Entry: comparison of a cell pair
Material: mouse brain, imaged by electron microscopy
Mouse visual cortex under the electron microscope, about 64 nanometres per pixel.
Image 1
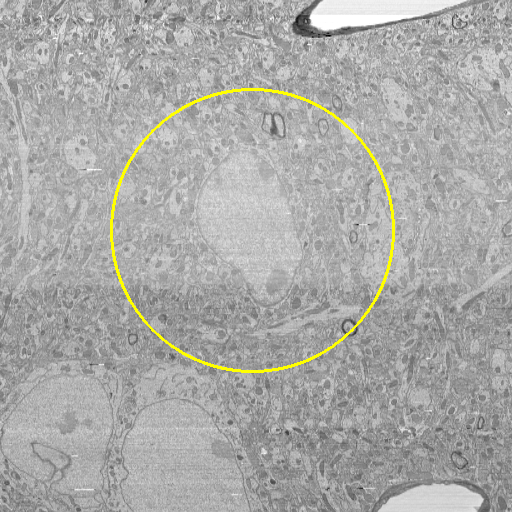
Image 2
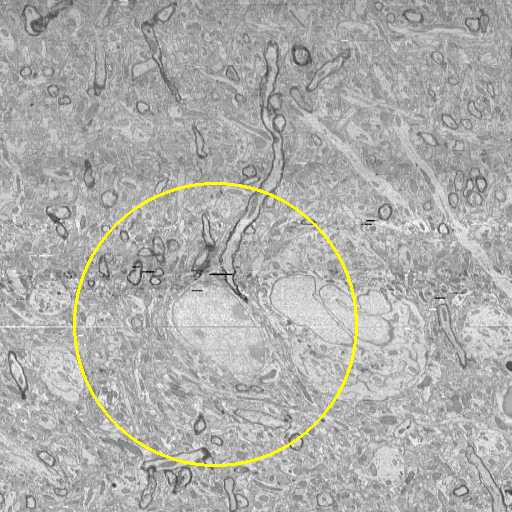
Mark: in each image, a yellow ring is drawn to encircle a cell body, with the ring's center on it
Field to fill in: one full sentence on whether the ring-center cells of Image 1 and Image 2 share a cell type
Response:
Yes, Image 1 and Image 2 each show a ring-center cell of one shared type.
